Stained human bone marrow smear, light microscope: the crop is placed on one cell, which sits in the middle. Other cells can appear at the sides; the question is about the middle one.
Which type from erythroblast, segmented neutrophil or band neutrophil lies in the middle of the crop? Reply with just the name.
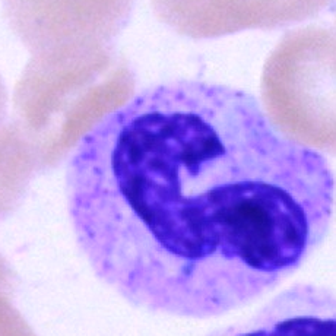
band neutrophil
